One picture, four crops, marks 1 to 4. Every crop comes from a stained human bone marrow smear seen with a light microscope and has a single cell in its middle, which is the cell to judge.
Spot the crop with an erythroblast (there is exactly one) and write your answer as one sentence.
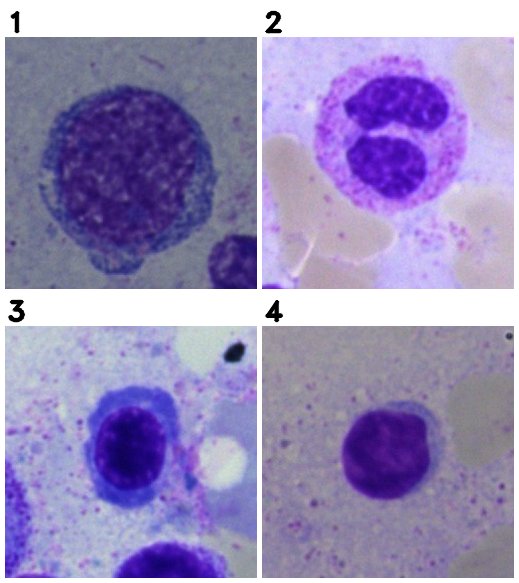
It is in crop 3, among all the crops, that an erythroblast is present.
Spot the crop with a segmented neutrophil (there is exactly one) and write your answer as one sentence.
Crop 2 shows a segmented neutrophil, and no other crop does.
